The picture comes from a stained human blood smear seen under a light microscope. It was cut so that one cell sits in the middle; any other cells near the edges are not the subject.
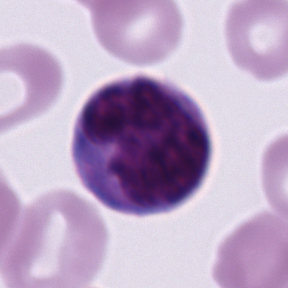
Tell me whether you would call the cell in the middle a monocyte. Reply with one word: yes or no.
yes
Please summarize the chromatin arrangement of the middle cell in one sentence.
Its chromatin is clumped in a coarse pattern.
